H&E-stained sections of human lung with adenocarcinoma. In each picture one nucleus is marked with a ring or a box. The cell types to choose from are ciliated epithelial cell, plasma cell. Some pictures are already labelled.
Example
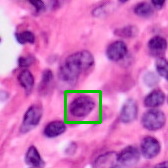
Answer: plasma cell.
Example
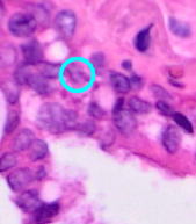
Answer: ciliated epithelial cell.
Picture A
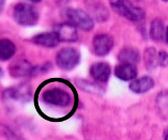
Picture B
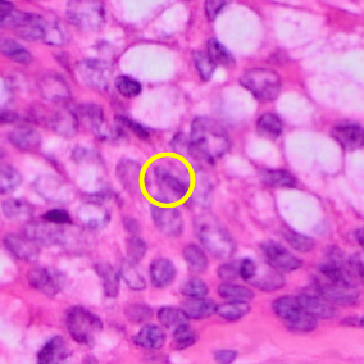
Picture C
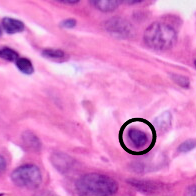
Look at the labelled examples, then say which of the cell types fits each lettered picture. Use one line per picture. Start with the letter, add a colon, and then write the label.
A: plasma cell.
B: ciliated epithelial cell.
C: plasma cell.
